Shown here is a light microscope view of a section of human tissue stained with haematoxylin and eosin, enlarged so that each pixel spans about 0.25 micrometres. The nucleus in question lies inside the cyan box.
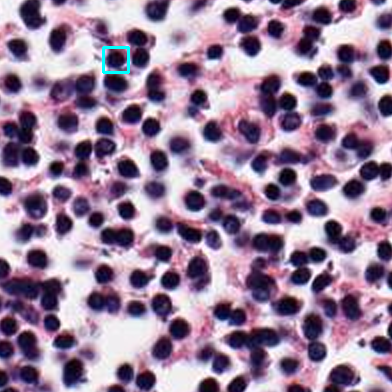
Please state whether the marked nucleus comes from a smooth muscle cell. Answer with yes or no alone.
no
